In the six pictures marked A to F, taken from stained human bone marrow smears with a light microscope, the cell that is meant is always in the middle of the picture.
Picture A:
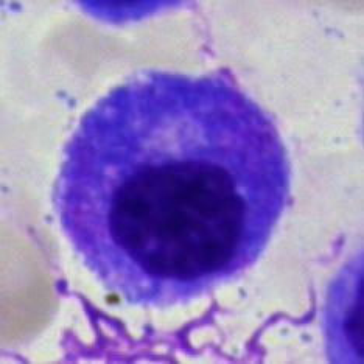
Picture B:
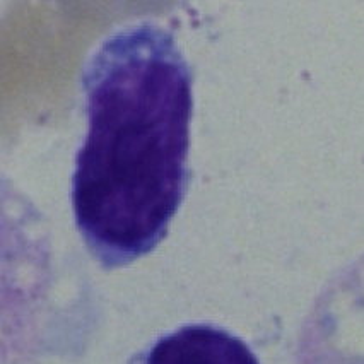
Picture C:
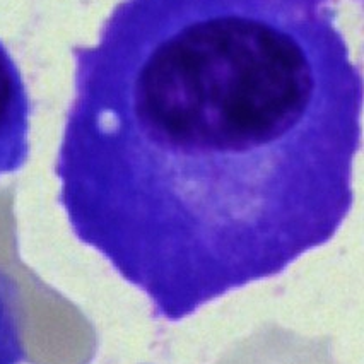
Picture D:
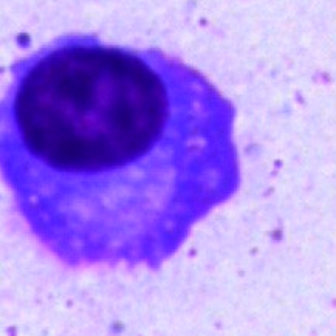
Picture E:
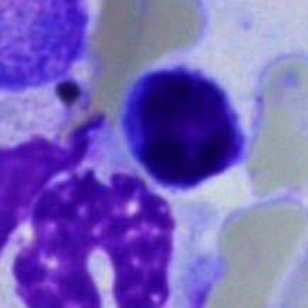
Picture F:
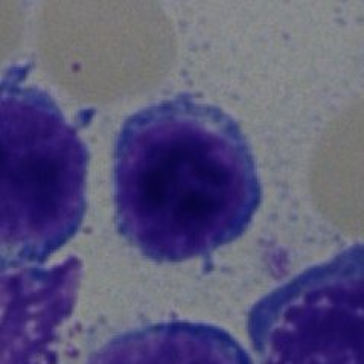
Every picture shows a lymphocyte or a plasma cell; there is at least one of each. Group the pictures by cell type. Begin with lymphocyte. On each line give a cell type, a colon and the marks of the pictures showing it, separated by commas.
lymphocyte: B, E, F
plasma cell: A, C, D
